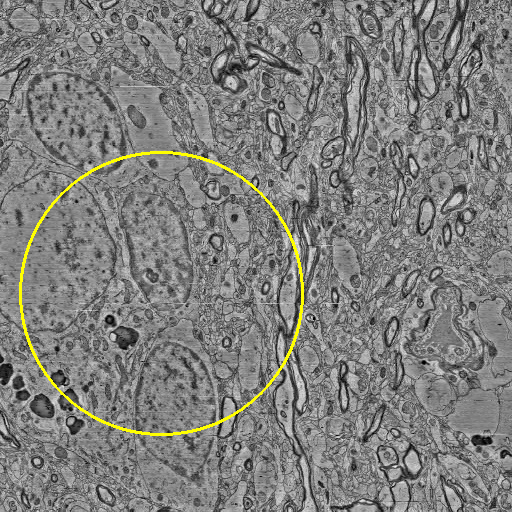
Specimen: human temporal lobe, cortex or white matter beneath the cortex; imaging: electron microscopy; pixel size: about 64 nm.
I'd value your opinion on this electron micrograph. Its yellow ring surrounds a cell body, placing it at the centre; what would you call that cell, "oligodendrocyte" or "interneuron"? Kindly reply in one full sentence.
It is an oligodendrocyte that sits centred within the yellow ring in this micrograph.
